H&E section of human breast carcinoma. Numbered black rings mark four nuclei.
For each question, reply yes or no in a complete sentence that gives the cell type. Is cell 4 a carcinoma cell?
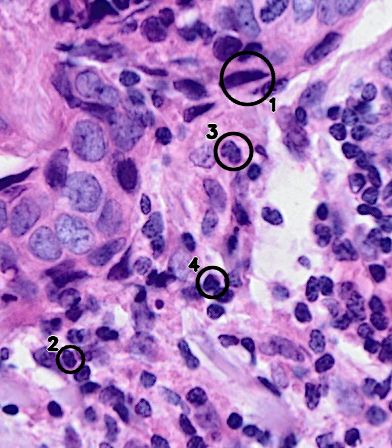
No, the cell under number 4 is a lymphocyte, not a carcinoma cell.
